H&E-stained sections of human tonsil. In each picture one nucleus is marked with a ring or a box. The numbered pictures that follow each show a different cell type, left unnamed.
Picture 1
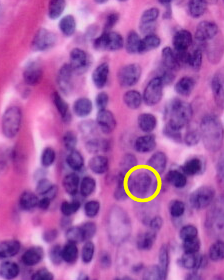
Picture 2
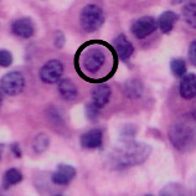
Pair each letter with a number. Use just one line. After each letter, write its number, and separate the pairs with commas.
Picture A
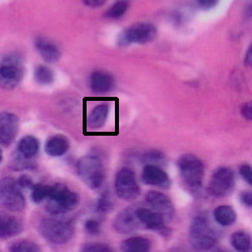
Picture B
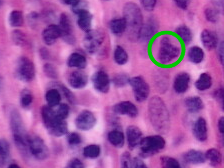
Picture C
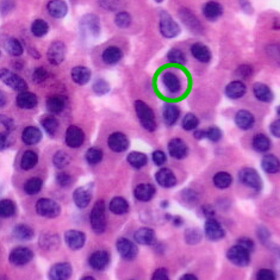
A 1, B 1, C 2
